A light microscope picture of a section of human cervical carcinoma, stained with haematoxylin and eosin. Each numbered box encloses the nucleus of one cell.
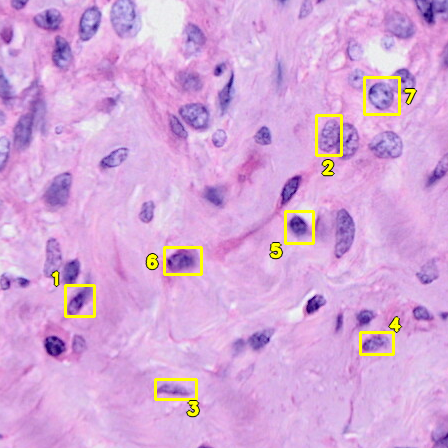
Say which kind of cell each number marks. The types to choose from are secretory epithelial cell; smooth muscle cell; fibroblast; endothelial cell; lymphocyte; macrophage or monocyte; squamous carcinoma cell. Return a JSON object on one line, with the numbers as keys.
{"1": "fibroblast", "2": "endothelial cell", "3": "fibroblast", "4": "smooth muscle cell", "5": "lymphocyte", "6": "smooth muscle cell", "7": "endothelial cell"}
